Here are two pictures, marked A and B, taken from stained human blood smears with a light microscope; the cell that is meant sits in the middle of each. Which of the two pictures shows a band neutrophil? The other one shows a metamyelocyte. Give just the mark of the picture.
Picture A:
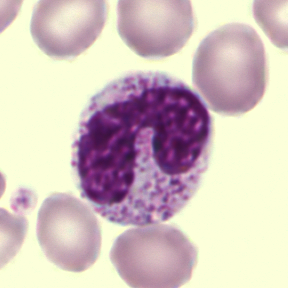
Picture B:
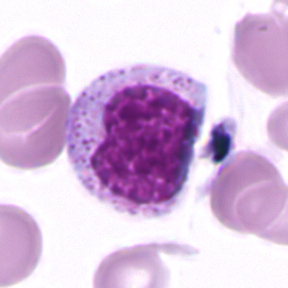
A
